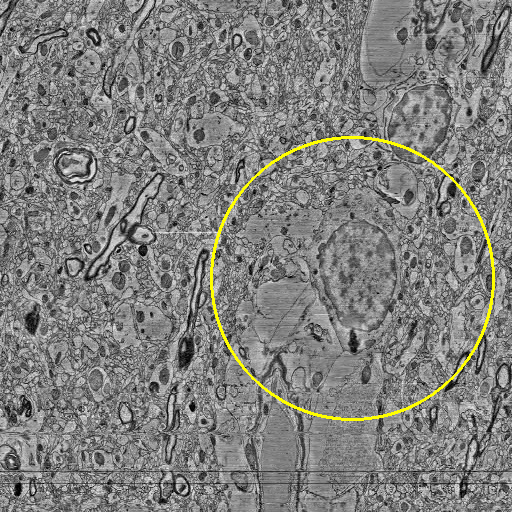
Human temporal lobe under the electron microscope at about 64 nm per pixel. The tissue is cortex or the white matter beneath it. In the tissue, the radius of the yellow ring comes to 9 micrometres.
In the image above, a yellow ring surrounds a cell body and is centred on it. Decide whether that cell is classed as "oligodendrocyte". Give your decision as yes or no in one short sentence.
Yes, it is classed as that kind.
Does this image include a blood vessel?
Yes.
